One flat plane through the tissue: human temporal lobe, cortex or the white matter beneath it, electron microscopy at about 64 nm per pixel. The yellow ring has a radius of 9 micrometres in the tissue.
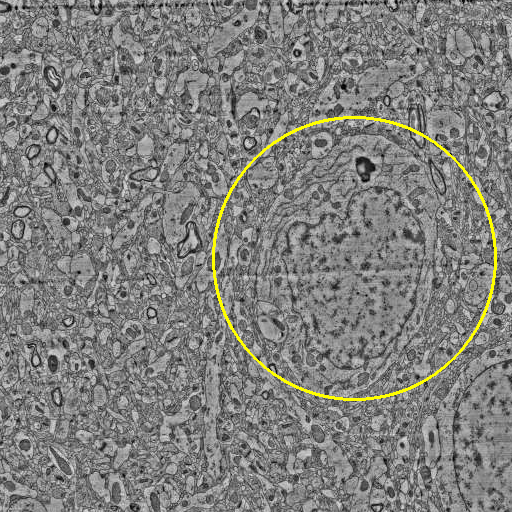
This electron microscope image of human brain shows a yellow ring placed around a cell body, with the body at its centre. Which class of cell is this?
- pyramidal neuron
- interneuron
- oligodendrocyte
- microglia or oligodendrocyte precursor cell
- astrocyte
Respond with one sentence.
The cell body at the ring's centre is an interneuron.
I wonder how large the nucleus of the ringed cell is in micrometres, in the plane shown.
The nucleus is approximately 12 micrometers long by 9 micrometers wide in this plane.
